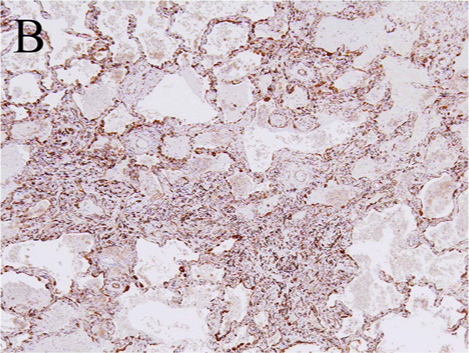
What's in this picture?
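The same thickened lung tissue shows brown staining in fibroblasts, epithelial cells and endothelial cells. The stain is densest in the crowded, spindle-shaped cells of the widened interstitium at the centre of the field. Brown staining also outlines the alveolar walls, tracing the lining of the airspaces. Small rounded profiles with a brown rim lie within the tissue and airspaces. The contents of the airspaces are pale and largely unstained.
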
